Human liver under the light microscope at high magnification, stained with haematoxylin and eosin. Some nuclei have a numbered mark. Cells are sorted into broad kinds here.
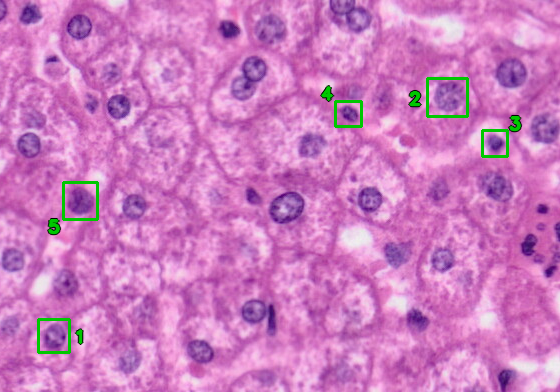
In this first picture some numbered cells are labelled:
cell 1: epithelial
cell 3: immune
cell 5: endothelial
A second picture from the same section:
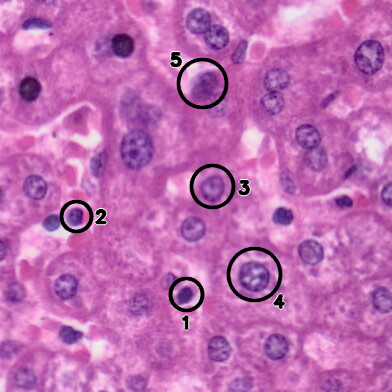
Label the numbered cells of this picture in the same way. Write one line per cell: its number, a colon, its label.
1: immune
2: immune
3: epithelial
4: epithelial
5: endothelial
